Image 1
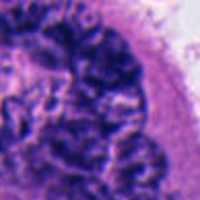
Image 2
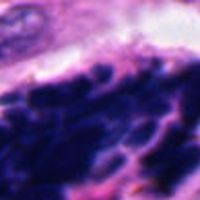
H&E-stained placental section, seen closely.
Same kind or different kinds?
Same: syncytial knots.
